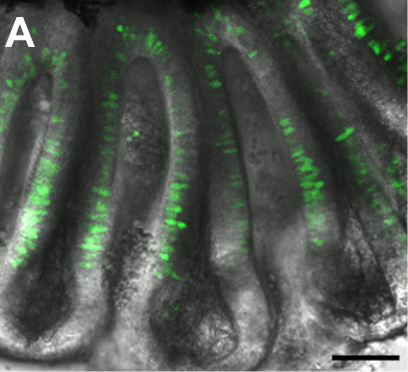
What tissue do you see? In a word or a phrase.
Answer: Olfactory rosette.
